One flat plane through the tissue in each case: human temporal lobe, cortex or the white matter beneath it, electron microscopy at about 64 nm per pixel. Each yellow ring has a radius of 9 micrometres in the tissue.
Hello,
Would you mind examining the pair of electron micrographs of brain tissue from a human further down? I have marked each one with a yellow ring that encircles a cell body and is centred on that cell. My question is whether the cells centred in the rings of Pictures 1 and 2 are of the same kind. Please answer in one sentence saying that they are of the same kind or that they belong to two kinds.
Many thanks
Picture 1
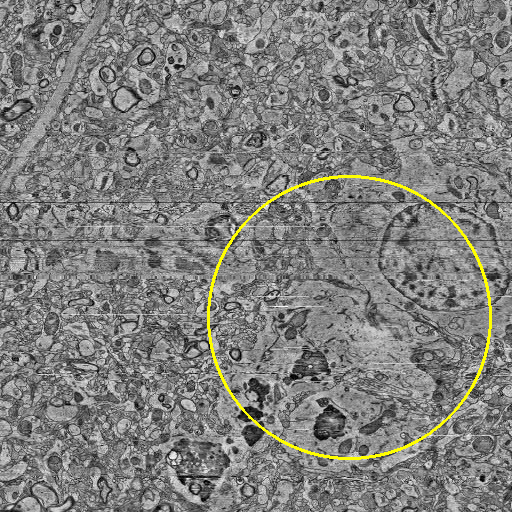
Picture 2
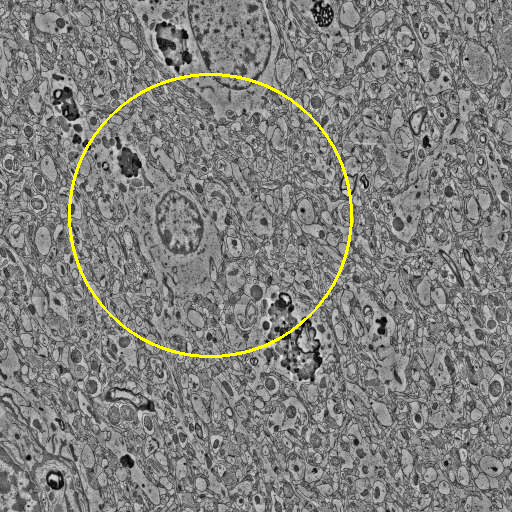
In Pictures 1 and 2, the cells at the heart of the rings are of the same kind.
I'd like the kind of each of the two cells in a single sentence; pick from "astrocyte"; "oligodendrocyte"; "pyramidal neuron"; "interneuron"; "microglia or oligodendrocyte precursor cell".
Each of the ringed cells, first and second, is an astrocyte.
